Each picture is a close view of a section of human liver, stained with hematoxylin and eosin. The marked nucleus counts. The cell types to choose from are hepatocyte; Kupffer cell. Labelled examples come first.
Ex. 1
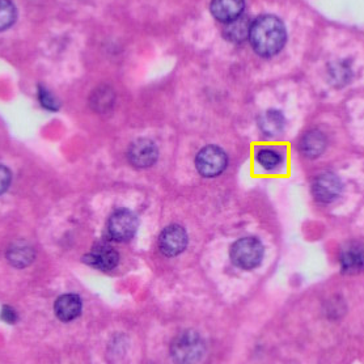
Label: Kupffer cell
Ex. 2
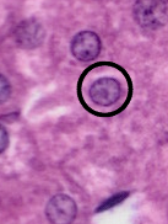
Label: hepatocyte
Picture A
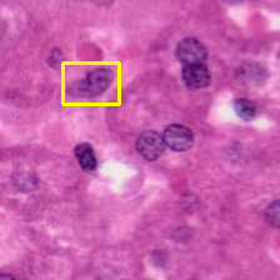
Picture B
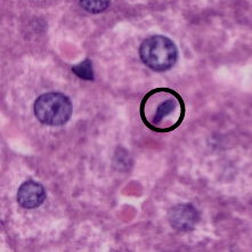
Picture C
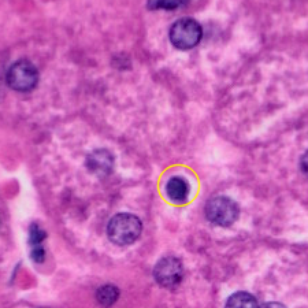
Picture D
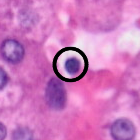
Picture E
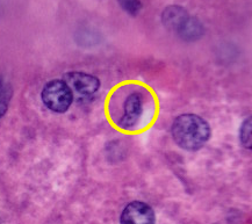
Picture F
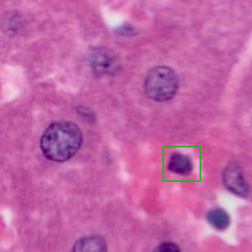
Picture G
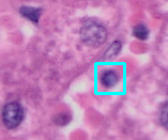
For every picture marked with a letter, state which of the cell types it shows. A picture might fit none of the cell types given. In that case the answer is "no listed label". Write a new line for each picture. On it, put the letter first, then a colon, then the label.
A: Kupffer cell
B: no listed label
C: no listed label
D: no listed label
E: Kupffer cell
F: no listed label
G: no listed label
